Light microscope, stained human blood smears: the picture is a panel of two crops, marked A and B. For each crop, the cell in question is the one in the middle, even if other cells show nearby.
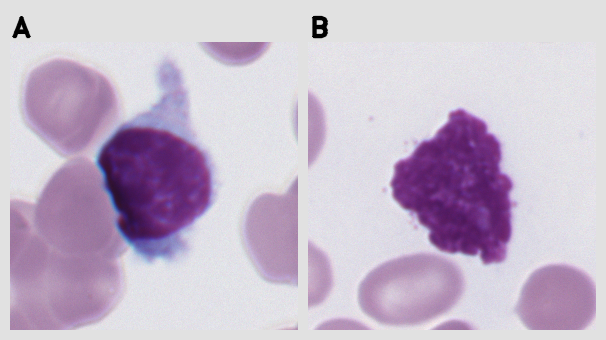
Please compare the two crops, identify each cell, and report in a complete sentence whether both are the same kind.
No, crop B holds a smudge cell, while crop A holds a typical lymphocyte.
